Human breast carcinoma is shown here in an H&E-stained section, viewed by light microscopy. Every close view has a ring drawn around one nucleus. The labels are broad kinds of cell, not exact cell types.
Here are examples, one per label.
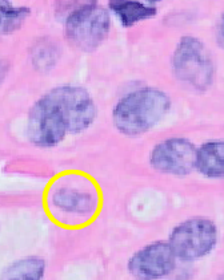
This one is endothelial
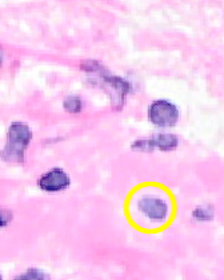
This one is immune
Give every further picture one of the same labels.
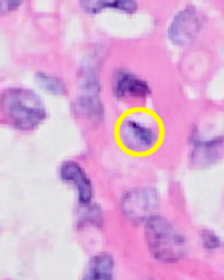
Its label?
endothelial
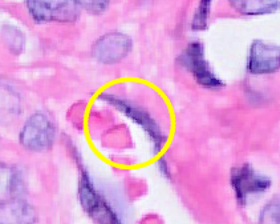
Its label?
endothelial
